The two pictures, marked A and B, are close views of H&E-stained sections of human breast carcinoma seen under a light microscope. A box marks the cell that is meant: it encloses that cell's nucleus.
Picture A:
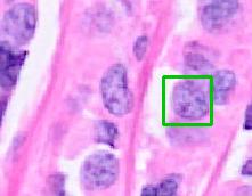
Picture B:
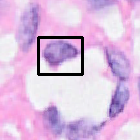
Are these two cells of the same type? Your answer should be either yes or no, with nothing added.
yes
